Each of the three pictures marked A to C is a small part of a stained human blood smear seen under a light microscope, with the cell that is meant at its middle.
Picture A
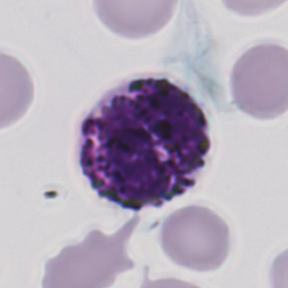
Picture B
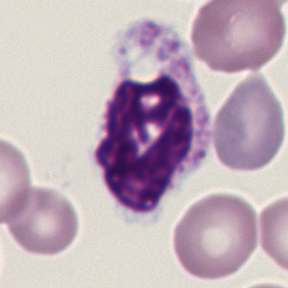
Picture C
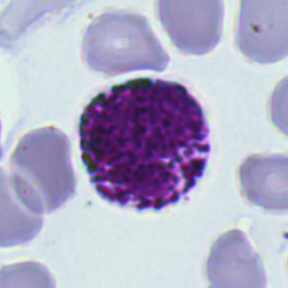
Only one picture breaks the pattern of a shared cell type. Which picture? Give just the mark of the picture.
B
